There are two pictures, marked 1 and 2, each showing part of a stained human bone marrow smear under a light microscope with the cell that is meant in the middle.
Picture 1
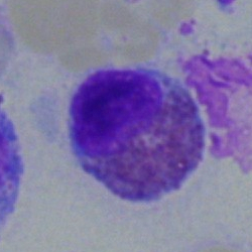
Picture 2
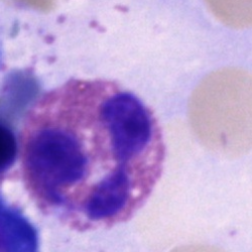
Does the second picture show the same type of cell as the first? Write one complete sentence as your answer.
Yes, both are eosinophils.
